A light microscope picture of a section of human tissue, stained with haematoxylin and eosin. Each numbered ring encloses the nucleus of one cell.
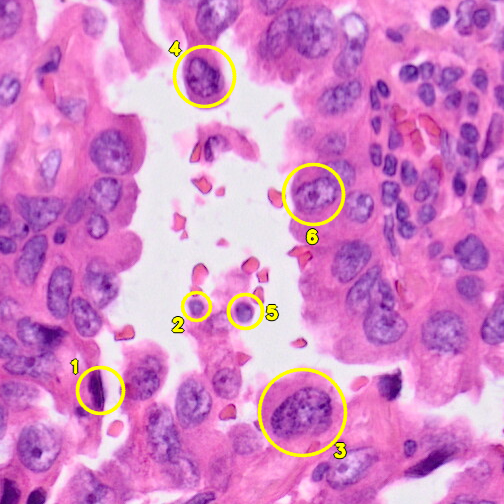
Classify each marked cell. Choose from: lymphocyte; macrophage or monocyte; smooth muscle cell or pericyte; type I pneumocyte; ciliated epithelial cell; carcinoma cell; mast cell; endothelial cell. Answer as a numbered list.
1. carcinoma cell
2. lymphocyte
3. carcinoma cell
4. carcinoma cell
5. lymphocyte
6. carcinoma cell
